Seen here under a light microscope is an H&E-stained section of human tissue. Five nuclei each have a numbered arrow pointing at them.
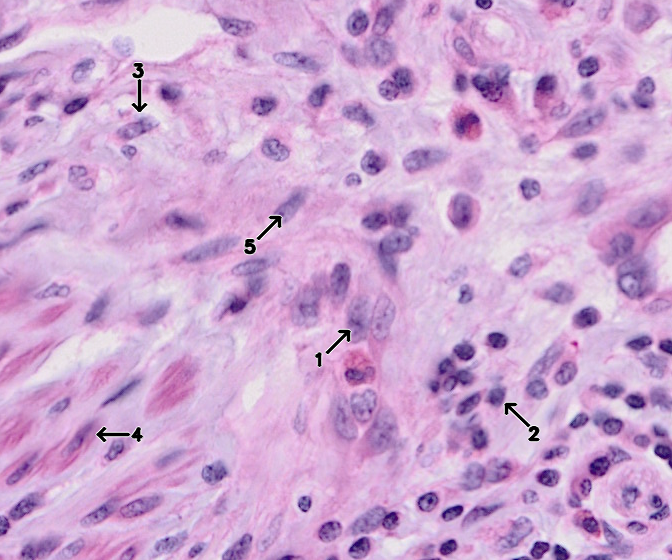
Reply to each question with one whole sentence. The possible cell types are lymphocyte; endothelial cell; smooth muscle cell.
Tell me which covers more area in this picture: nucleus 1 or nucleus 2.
At about 2.5 times the area of nucleus 2, nucleus 1 is the larger of the two.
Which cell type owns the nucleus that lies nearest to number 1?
The cell nearest to number 1 is an endothelial cell.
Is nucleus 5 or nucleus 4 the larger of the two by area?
The larger nucleus is 5, at roughly 2.5 times the area of 4.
